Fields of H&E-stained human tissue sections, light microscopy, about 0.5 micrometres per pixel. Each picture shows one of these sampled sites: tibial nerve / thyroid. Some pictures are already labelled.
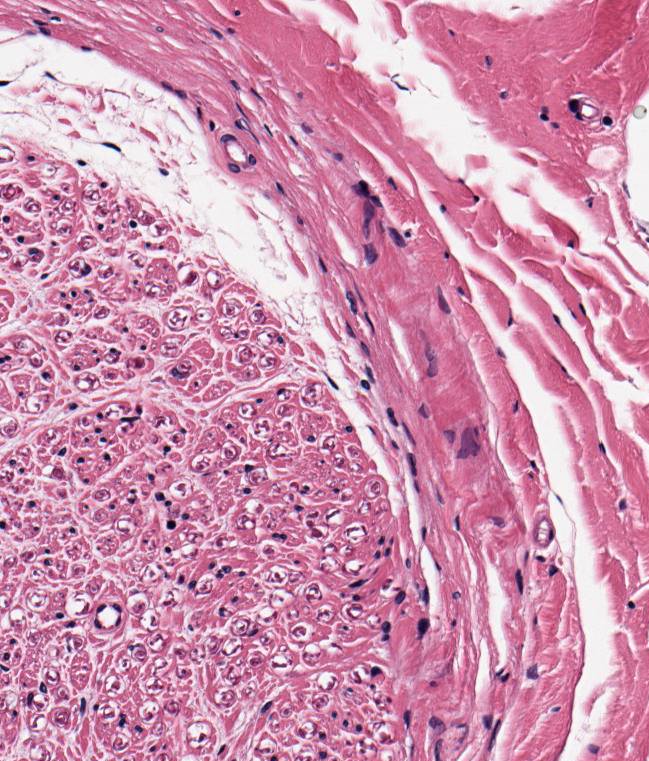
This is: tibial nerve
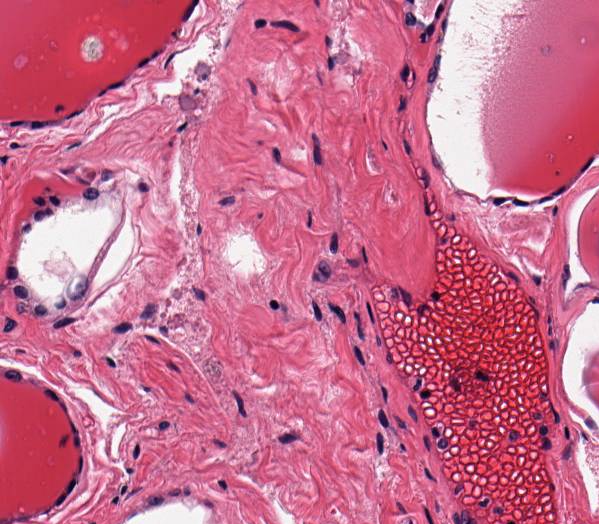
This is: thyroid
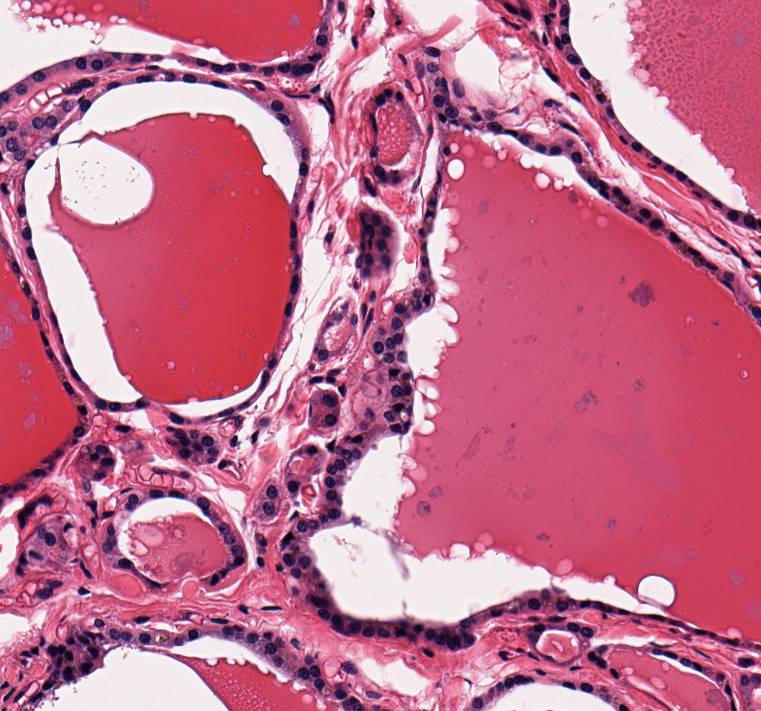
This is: thyroid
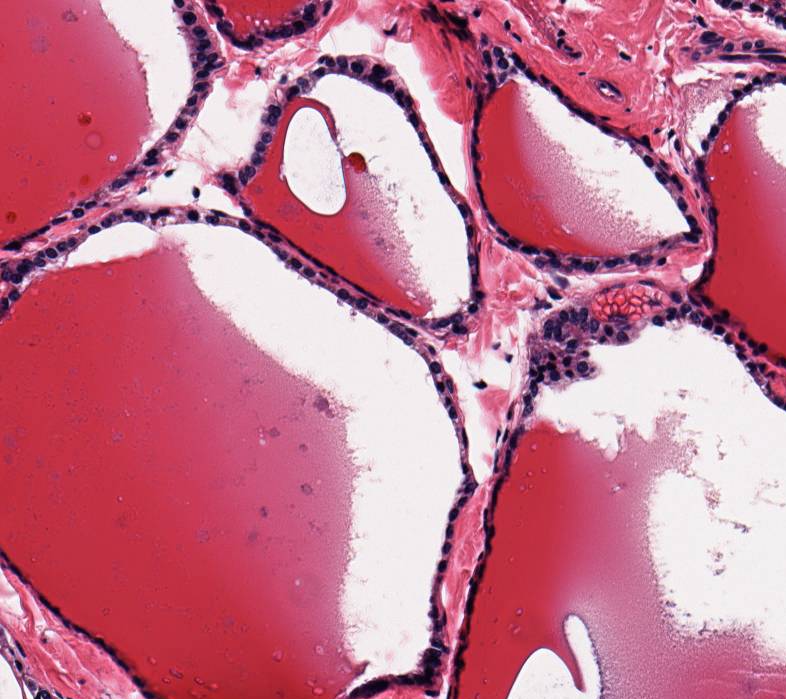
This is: thyroid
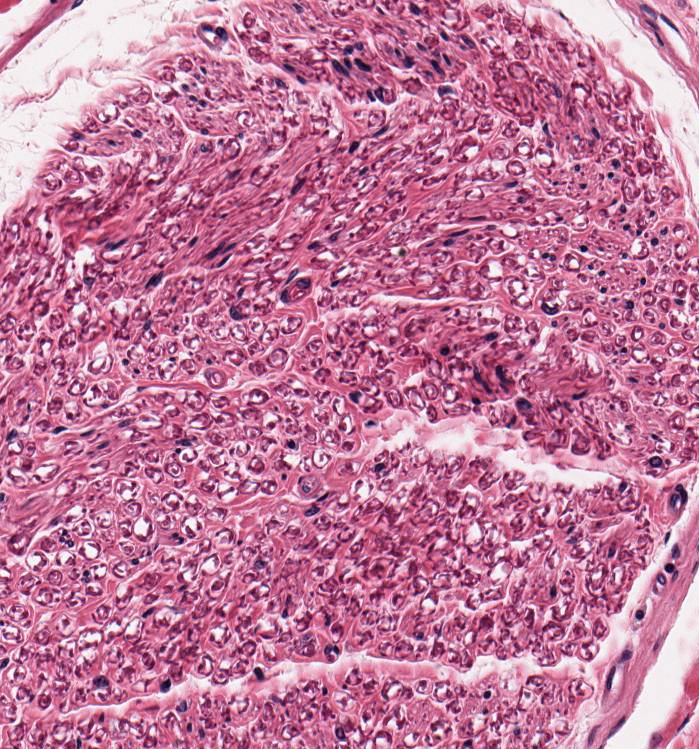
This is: tibial nerve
